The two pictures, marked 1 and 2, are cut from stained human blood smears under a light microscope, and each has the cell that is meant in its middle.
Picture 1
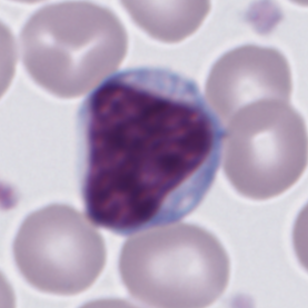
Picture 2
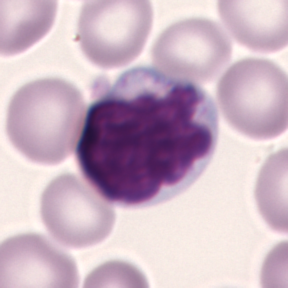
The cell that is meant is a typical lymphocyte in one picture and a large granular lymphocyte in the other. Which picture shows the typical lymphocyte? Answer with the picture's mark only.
1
